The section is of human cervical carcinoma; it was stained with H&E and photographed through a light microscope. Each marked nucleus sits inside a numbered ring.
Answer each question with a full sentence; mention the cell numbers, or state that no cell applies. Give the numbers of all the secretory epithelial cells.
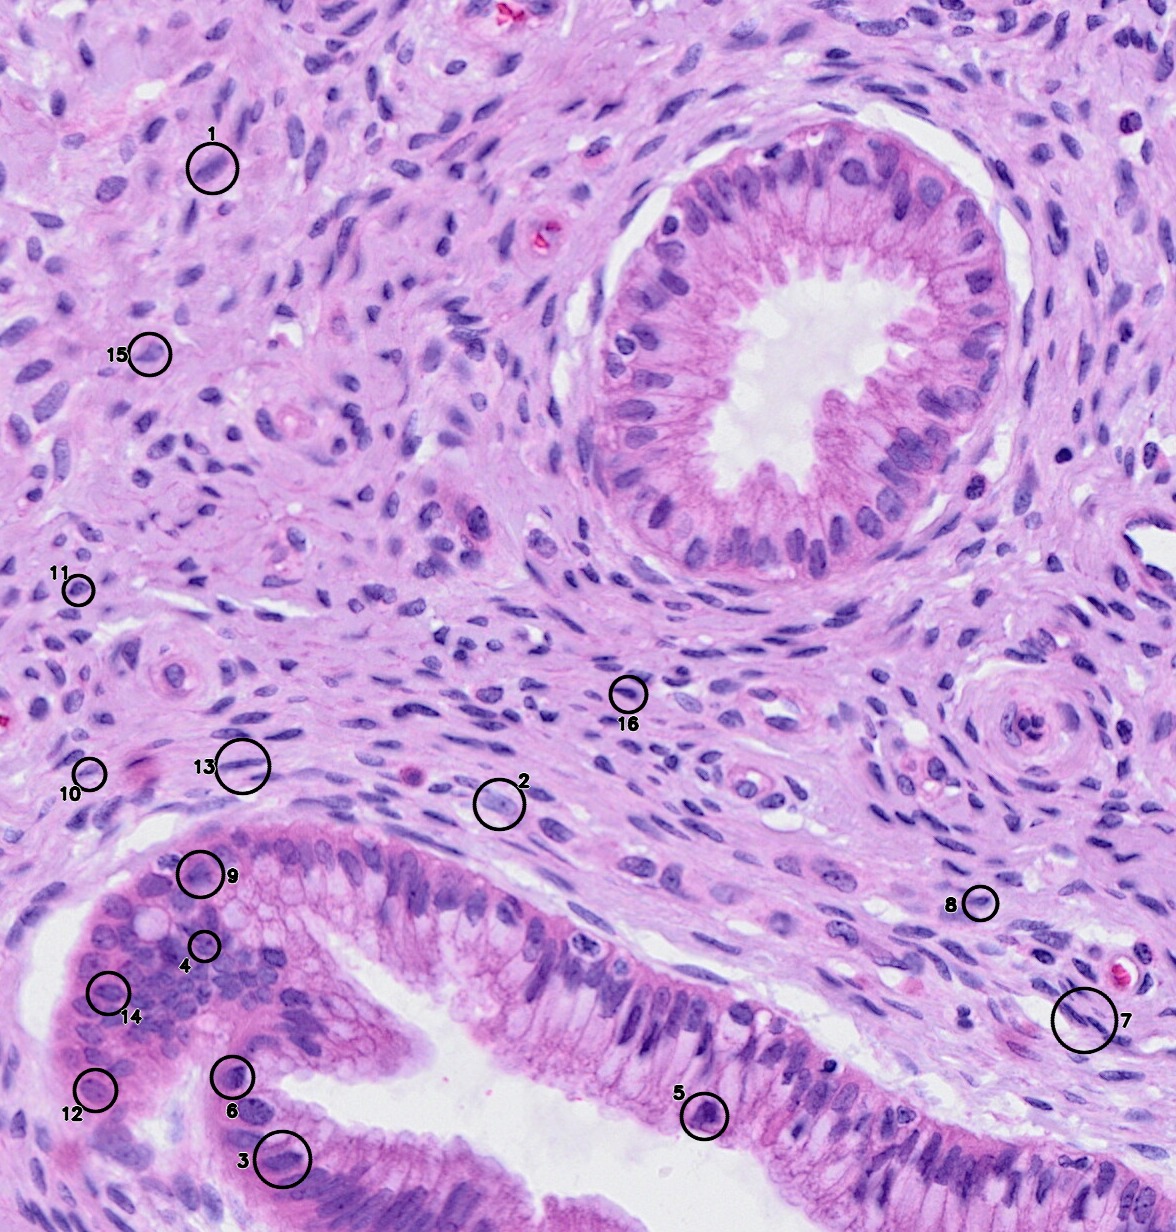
The cells with the number labels 3, 4, 5, 6, 9, 12 and 14 are secretory epithelial cells.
